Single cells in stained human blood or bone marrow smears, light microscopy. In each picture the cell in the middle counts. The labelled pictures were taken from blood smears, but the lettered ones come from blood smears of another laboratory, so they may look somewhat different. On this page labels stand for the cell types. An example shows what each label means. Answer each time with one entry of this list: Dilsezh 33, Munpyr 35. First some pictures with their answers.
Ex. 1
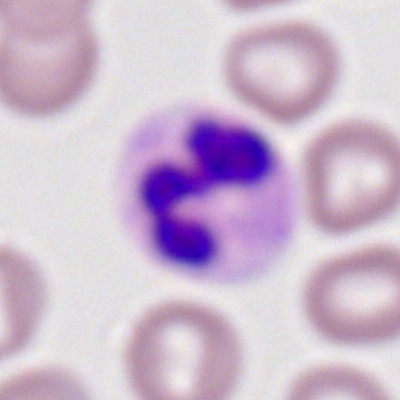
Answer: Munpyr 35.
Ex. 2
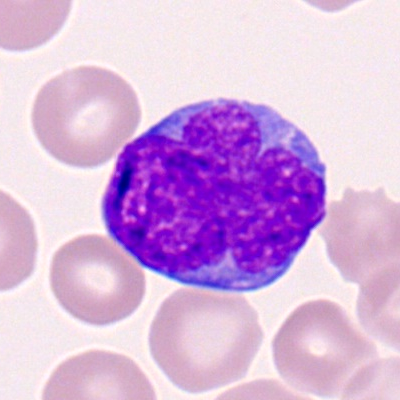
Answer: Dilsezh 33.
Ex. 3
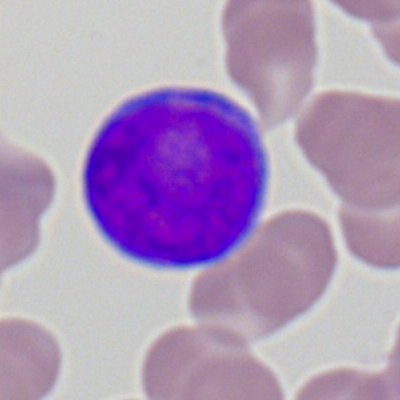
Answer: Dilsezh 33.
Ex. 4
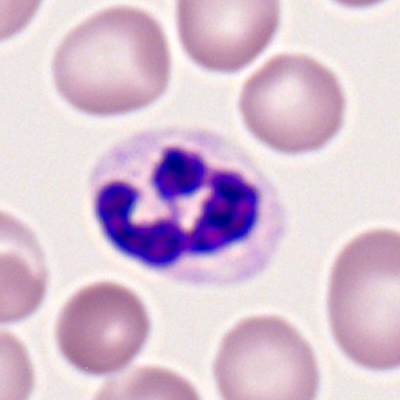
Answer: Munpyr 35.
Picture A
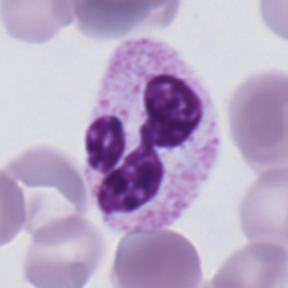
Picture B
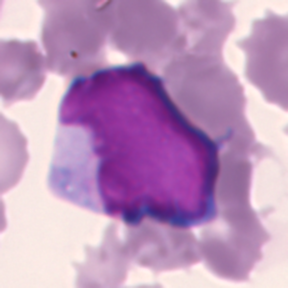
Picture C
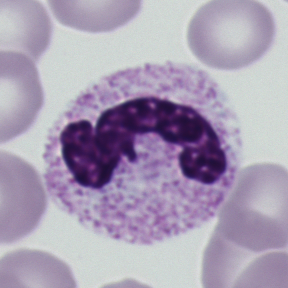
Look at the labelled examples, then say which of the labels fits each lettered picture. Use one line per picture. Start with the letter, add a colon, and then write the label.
A: Munpyr 35.
B: Dilsezh 33.
C: Munpyr 35.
